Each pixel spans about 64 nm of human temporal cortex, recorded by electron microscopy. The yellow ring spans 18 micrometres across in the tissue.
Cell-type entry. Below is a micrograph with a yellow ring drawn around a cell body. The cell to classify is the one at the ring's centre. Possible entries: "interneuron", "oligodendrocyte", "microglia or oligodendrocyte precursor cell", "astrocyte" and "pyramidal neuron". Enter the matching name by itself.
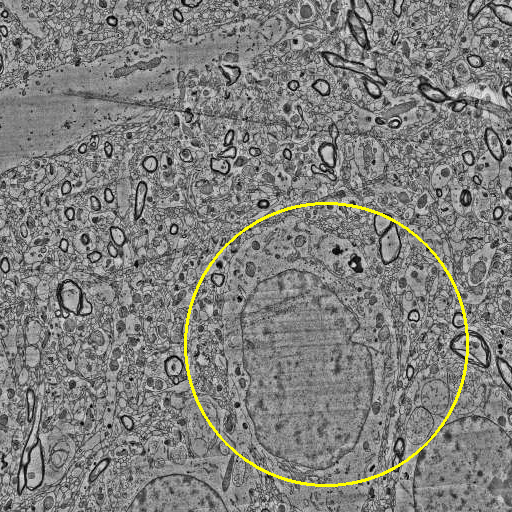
interneuron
